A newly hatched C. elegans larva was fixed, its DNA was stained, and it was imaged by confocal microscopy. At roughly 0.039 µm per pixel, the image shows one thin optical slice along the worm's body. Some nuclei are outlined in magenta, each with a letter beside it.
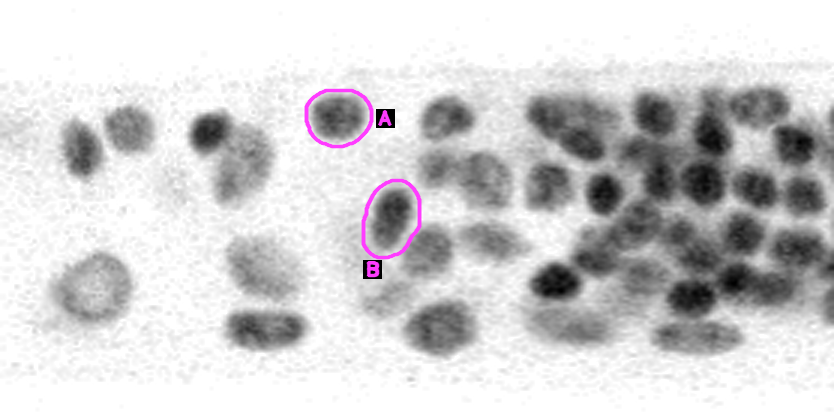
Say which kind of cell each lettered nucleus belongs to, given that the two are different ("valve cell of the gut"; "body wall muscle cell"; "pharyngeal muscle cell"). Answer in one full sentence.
A belongs to a body wall muscle cell and B to a valve cell of the gut.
